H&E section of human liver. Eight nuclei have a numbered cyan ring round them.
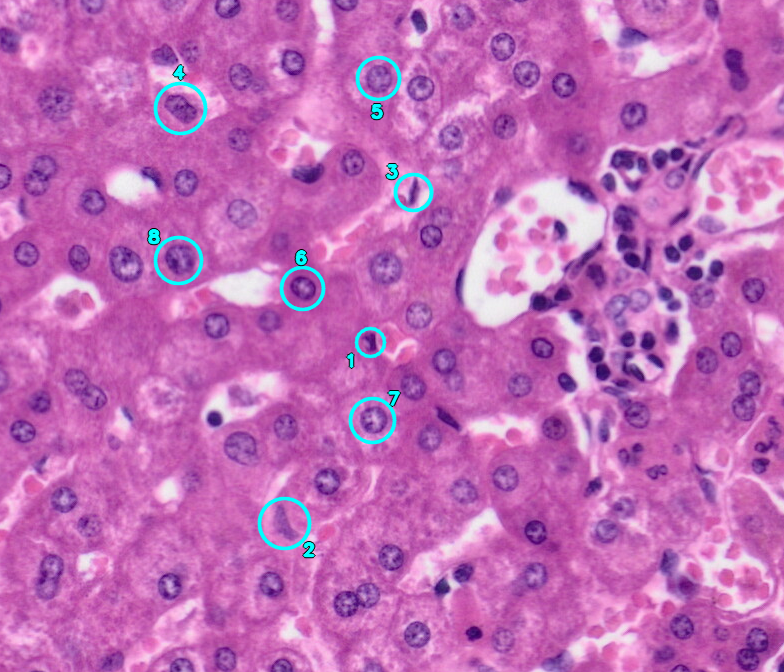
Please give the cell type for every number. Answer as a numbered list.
1. fibroblast or stellate cell
2. Kupffer cell
3. endothelial cell
4. Kupffer cell
5. hepatocyte
6. hepatocyte
7. hepatocyte
8. hepatocyte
